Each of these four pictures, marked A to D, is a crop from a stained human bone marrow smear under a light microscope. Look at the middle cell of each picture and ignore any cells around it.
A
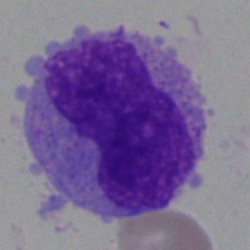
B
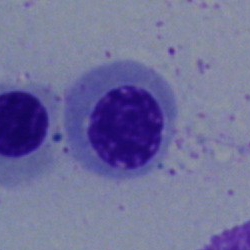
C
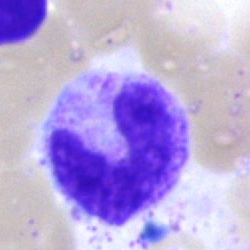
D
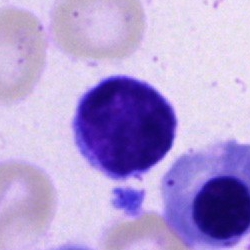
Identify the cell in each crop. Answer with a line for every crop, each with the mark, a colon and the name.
A: monocyte
B: erythroblast
C: band neutrophil
D: lymphocyte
